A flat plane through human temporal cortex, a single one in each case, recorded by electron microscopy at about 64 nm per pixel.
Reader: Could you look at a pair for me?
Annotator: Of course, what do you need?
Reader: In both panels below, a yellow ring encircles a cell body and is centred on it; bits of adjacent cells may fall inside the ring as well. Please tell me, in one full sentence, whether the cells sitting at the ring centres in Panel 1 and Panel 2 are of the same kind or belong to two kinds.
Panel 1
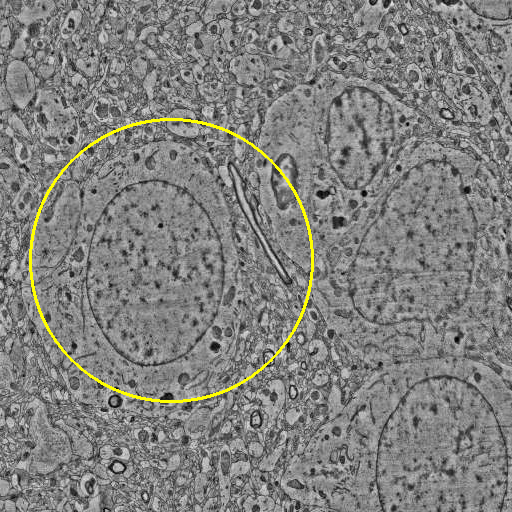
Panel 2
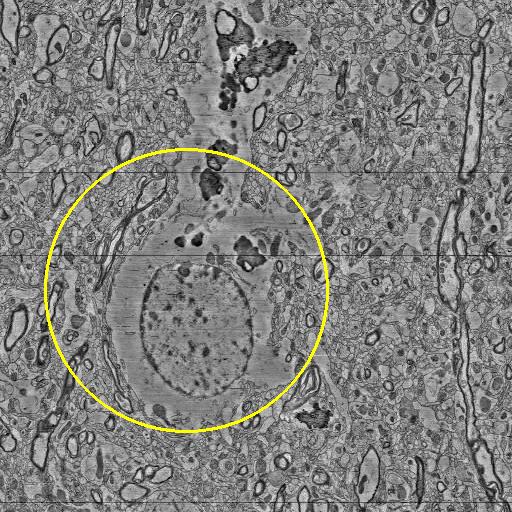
The cell at the ring's centre in Panel 1 and the one in Panel 2 belong to two kinds.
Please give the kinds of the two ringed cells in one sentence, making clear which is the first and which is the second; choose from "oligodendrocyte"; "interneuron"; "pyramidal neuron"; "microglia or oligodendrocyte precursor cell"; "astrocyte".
In the second picture the ringed cell is an astrocyte; in the first it is a pyramidal neuron.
